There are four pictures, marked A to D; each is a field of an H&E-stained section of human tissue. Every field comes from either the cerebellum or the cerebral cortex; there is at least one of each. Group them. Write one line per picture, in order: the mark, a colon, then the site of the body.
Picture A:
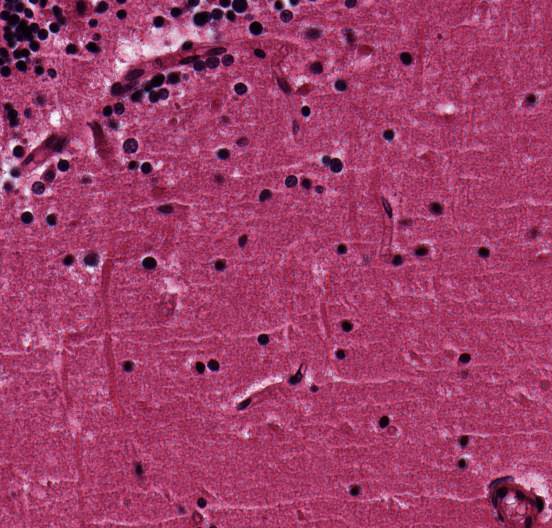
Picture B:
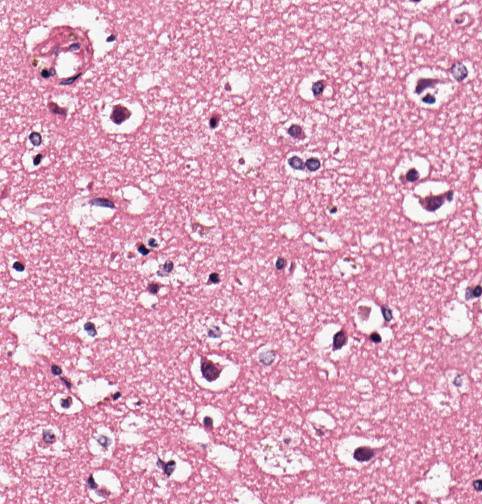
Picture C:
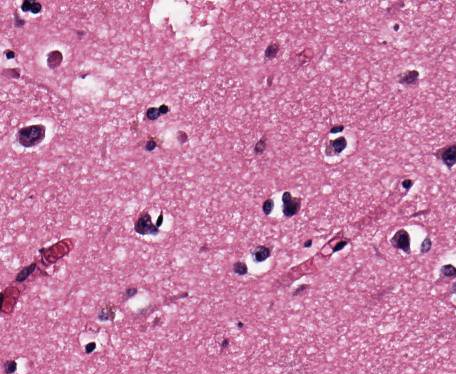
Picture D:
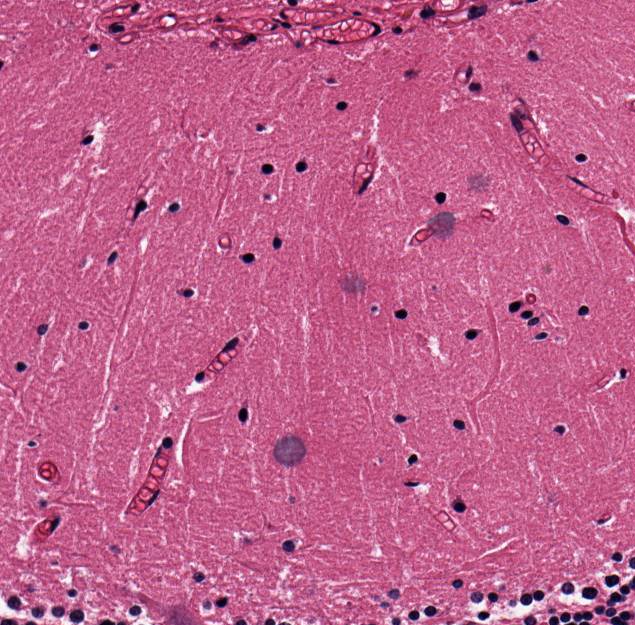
A: cerebellum
B: cerebral cortex
C: cerebral cortex
D: cerebellum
